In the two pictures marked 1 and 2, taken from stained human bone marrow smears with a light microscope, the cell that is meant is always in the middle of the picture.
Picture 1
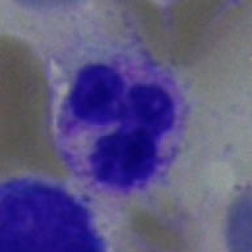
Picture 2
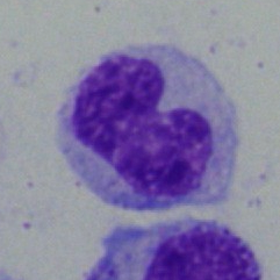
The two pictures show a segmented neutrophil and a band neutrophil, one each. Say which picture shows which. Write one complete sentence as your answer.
Picture 1 is of a segmented neutrophil, and picture 2 is of a band neutrophil.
